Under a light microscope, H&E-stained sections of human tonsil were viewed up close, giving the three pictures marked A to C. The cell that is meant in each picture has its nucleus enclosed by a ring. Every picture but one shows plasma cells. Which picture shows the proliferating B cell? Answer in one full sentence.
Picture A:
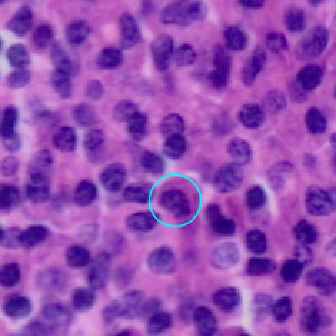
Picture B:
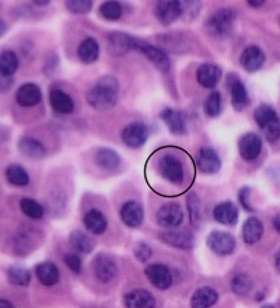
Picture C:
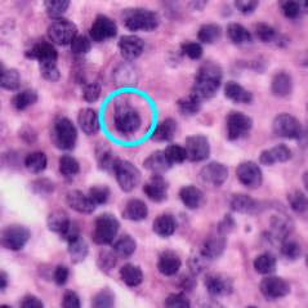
The proliferating B cell is the one in picture C.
